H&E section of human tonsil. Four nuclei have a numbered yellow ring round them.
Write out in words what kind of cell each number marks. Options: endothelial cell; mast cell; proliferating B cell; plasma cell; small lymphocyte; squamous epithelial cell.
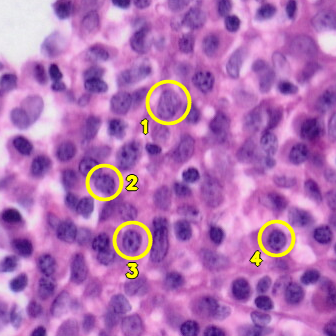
Cell 1 is a squamous epithelial cell, cell 2 is a plasma cell, cell 3 is a plasma cell and cell 4 is a plasma cell.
